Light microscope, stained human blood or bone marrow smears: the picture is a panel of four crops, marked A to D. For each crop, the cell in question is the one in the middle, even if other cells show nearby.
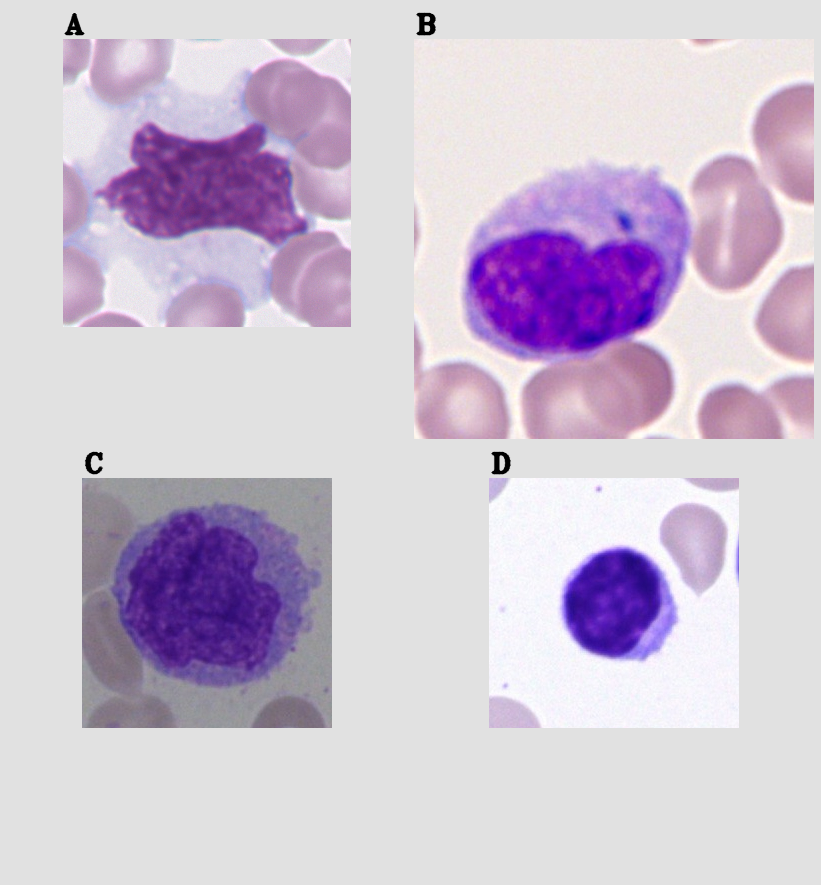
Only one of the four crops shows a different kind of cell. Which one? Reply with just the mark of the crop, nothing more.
D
